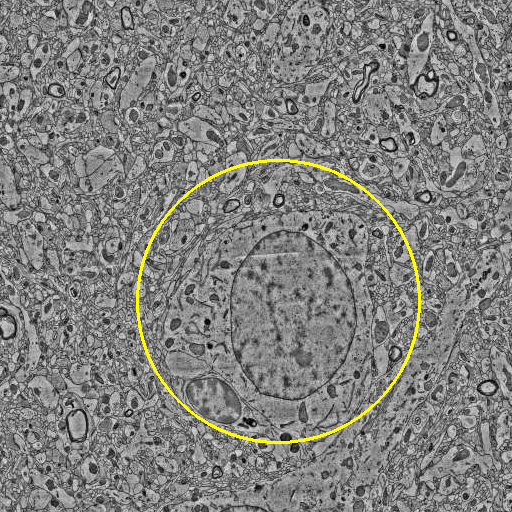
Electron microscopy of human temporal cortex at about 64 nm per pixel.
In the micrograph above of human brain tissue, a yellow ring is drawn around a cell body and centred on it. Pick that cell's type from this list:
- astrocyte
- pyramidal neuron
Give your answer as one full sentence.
Going by the list, a pyramidal neuron is the cell on which the yellow ring is centred.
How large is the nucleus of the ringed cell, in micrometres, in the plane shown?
The nucleus works out at approximately 11 by 8 micrometres in this plane.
